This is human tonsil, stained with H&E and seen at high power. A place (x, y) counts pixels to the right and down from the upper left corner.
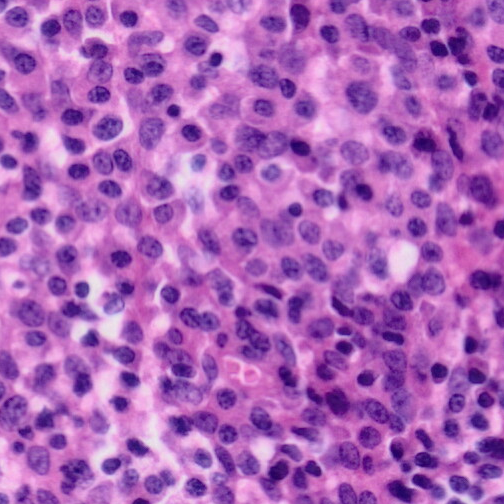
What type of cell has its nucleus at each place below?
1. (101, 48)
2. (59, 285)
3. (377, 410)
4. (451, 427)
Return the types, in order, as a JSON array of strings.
["plasma cell", "plasma cell", "squamous epithelial cell", "plasma cell"]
